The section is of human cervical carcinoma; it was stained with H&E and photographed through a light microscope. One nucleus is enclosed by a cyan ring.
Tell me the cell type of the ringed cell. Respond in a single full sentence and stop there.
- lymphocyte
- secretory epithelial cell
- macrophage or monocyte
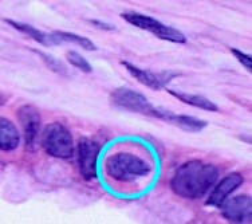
For cell typing purposes, the ringed cell is a secretory epithelial cell.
